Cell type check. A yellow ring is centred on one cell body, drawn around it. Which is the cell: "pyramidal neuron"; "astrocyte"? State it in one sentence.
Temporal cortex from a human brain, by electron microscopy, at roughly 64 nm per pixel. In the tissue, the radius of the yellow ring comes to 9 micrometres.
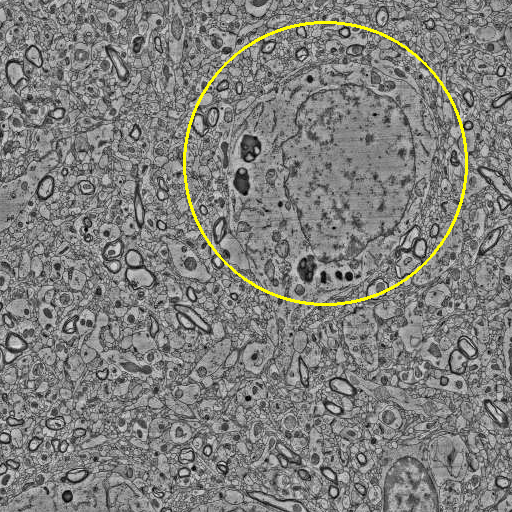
The cell body at the ring's centre belongs to a pyramidal neuron.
